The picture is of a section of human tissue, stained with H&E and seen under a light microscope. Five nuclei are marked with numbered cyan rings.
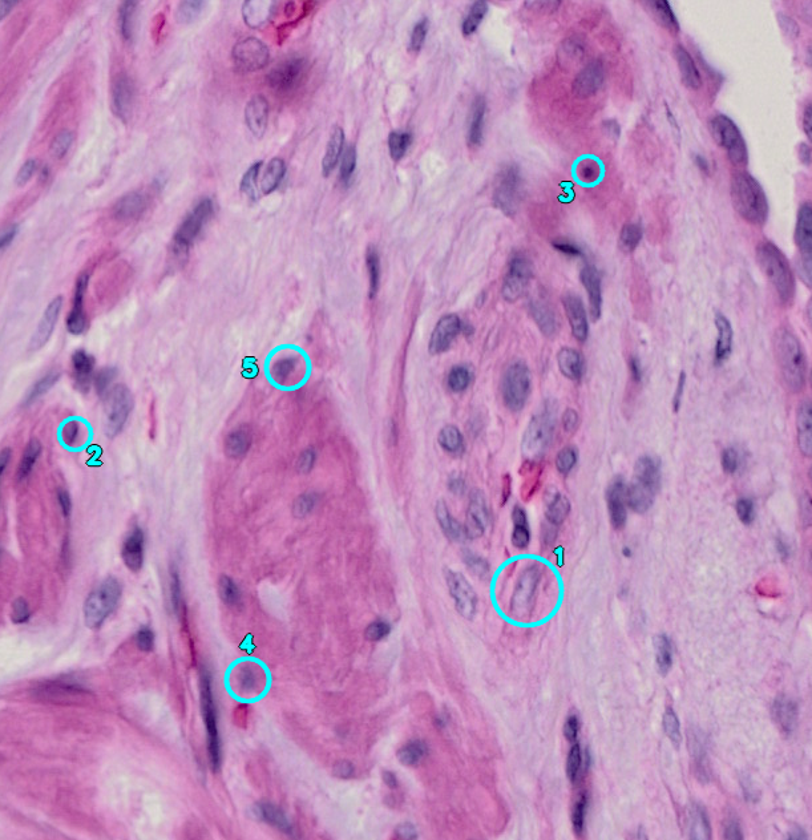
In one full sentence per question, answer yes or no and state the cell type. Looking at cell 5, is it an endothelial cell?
No, the cell bearing number 5 is not an endothelial cell but a smooth muscle cell.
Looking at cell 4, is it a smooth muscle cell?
No, at number 4 sits an endothelial cell, not a smooth muscle cell.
